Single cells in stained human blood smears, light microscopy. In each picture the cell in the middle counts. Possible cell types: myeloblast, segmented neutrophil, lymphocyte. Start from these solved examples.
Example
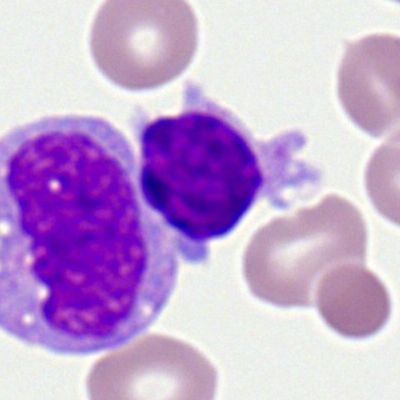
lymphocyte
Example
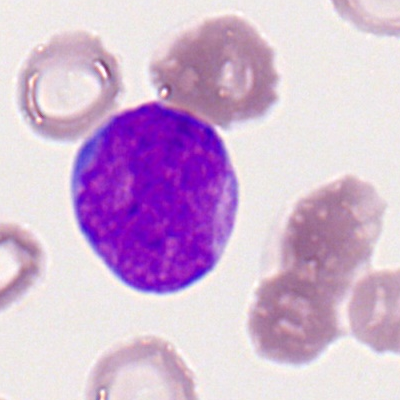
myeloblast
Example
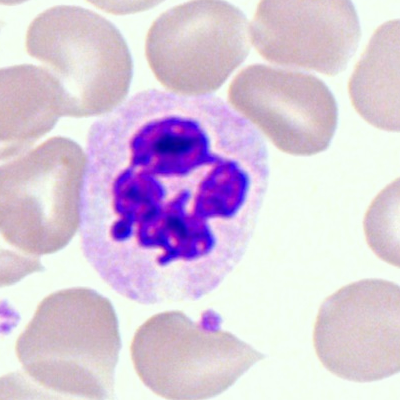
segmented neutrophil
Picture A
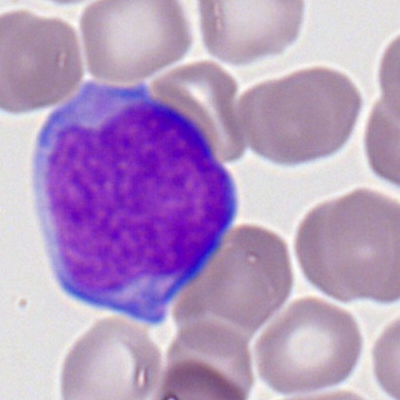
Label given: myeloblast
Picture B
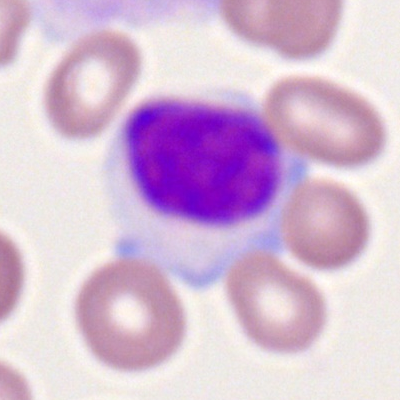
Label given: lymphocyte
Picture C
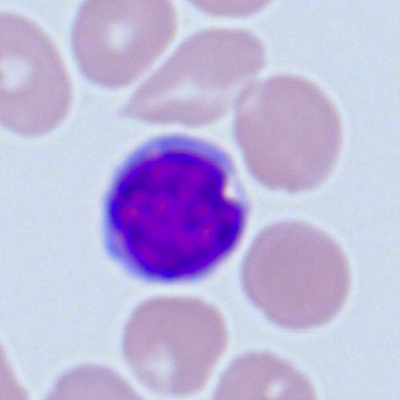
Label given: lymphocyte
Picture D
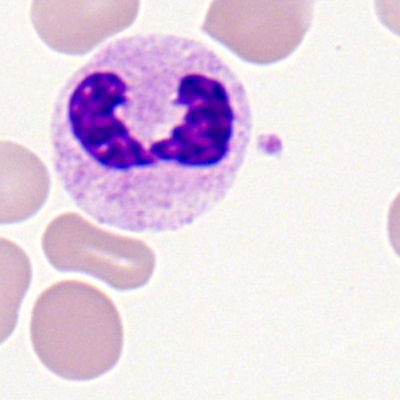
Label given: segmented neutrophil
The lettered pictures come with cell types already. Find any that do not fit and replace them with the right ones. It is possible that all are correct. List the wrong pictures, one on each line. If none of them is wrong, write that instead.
All correct.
